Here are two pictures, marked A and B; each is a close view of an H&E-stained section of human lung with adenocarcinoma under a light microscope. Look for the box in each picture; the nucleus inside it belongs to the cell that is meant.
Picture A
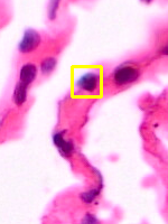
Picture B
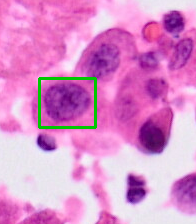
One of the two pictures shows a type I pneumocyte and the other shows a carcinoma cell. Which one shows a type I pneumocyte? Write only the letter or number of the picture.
A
